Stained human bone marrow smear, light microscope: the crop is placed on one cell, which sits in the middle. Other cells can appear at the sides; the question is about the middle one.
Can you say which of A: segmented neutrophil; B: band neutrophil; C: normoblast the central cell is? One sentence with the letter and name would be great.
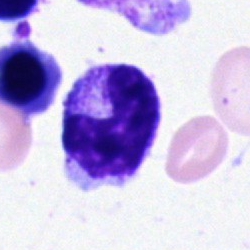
In the middle of the crop is a band neutrophil; option B is therefore correct.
